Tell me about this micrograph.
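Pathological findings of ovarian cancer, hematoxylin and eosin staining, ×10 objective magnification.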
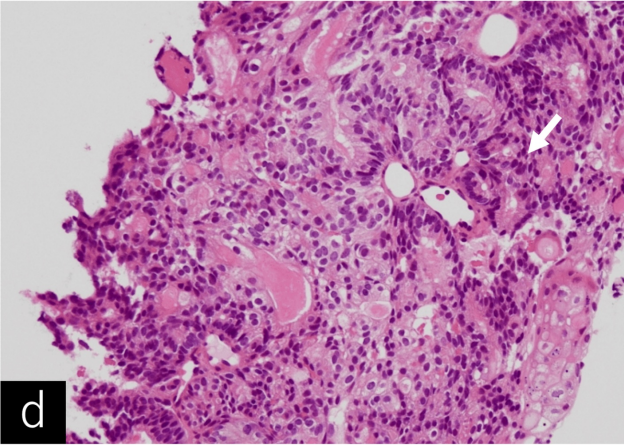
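A densely cellular tumor tissue in which atypical epithelial cells with enlarged, dark purple, crowded nuclei proliferate. The cells line small, irregular glandular spaces of varying shape. Between them lie scattered pink eosinophilic strands and deposits.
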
